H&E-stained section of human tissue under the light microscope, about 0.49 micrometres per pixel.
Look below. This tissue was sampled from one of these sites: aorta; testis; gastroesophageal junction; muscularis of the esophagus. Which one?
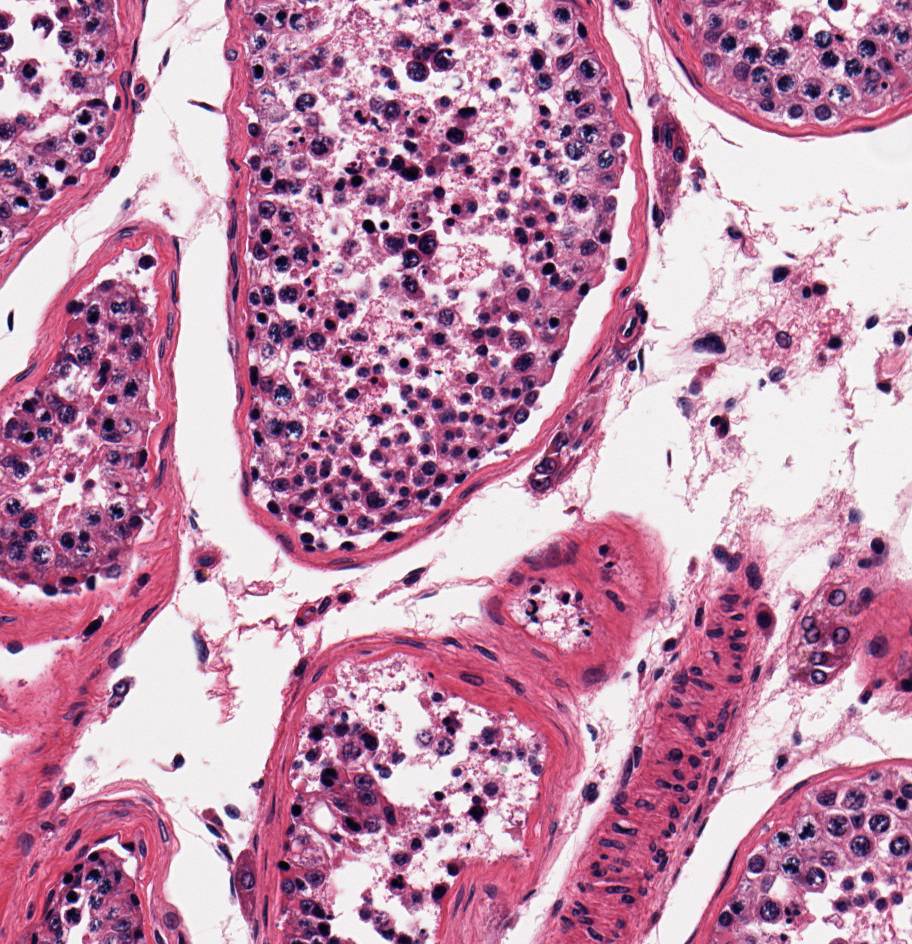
testis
